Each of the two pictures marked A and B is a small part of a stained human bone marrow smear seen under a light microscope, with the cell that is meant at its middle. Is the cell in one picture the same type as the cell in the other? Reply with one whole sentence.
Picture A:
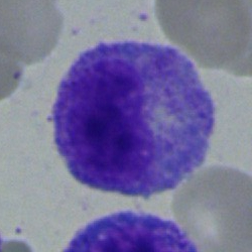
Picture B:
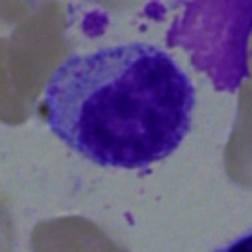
No. Picture A shows a promyelocyte, but picture B shows a myelocyte.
